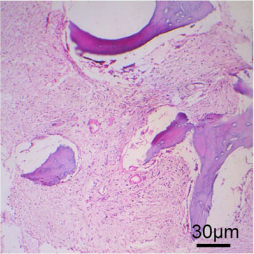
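This section shows irregular trabeculae of bone, stained deep pink to purple, lying in abundant loose connective tissue. The connective tissue between the trabeculae is pale pink and fibrous, with many small, elongated dark nuclei scattered through it. Small vessel-like spaces lie within this fibrous tissue. The bone pieces are separated from one another by wide stretches of this soft tissue rather than forming a continuous network.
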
